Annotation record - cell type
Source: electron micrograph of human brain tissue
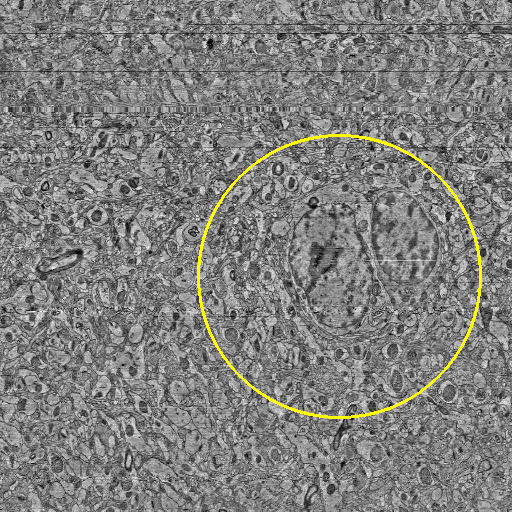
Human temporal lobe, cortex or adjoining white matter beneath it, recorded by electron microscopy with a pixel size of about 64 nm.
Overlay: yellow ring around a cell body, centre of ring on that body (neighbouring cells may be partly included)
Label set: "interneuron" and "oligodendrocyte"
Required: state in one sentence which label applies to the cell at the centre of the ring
This cell should be labelled as an interneuron.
